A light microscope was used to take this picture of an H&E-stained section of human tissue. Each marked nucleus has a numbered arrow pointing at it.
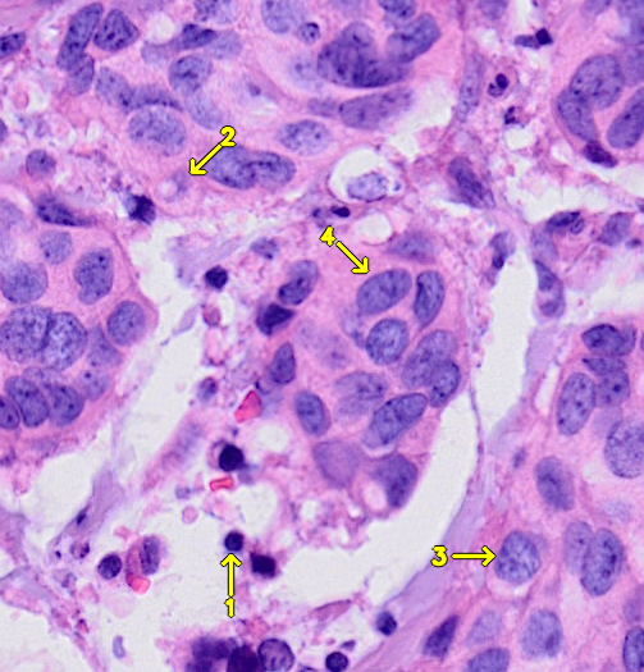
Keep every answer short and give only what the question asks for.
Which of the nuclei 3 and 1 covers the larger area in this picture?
3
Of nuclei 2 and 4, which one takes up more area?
4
